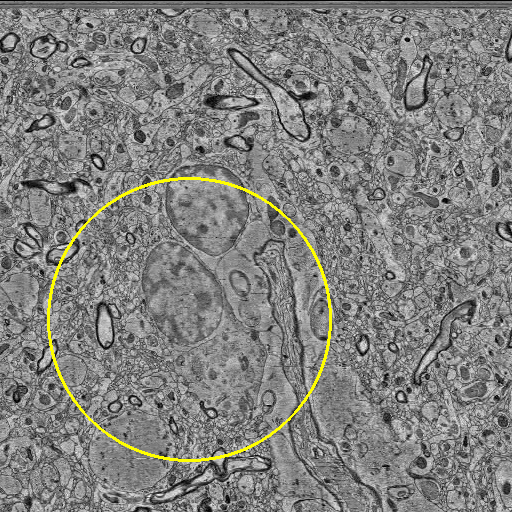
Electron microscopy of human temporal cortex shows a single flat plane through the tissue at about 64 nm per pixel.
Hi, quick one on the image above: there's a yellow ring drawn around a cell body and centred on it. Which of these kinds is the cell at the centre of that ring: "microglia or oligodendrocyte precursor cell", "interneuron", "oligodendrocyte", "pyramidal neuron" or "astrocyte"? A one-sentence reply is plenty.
The cell at the centre of the ring is an oligodendrocyte.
